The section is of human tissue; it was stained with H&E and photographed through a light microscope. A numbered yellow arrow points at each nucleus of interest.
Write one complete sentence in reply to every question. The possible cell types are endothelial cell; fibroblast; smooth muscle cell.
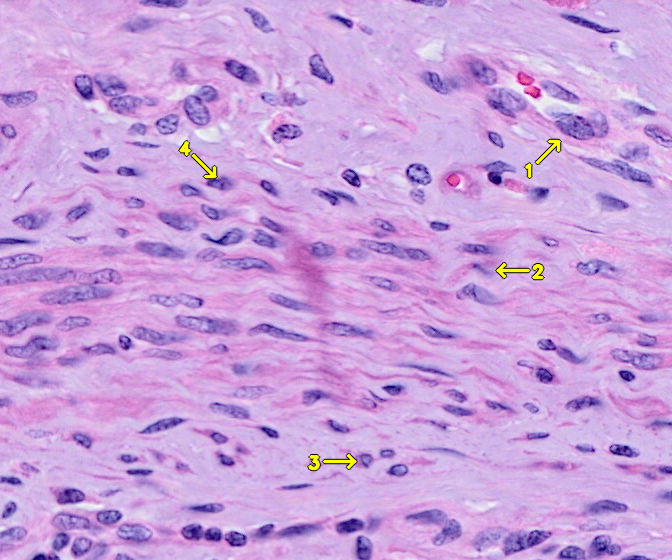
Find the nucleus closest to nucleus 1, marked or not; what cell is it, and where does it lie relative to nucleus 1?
An endothelial cell lies closest, to the right of nucleus 1.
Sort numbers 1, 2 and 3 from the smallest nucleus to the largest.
The order from the smallest nucleus to the largest is 3, 2, 1.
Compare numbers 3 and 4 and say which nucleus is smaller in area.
Number 3 is smaller, since number 4 takes up about 2 times as much area.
